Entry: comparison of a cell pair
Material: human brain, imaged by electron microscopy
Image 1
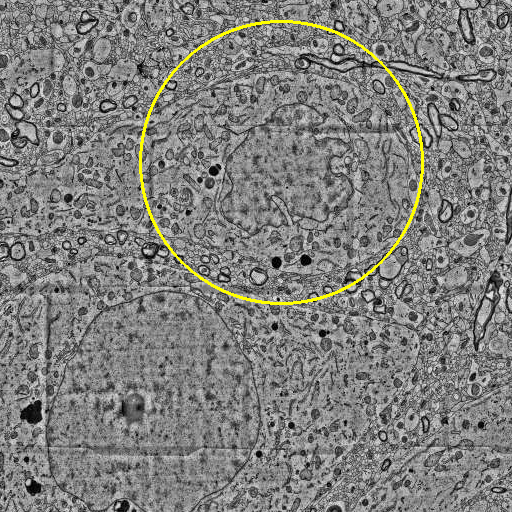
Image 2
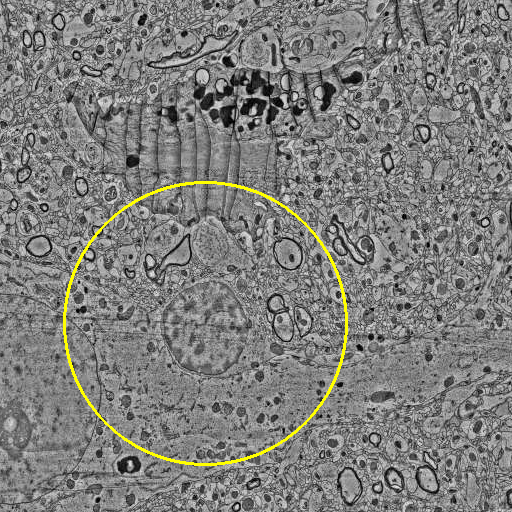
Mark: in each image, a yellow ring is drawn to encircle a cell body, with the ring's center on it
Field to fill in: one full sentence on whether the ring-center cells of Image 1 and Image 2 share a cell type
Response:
No, Image 1 and Image 2 show ring-center cells of two separate types.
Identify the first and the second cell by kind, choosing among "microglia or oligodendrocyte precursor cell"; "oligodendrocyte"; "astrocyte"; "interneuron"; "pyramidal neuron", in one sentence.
The one in the first picture is an interneuron, while the one in the second is an oligodendrocyte.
